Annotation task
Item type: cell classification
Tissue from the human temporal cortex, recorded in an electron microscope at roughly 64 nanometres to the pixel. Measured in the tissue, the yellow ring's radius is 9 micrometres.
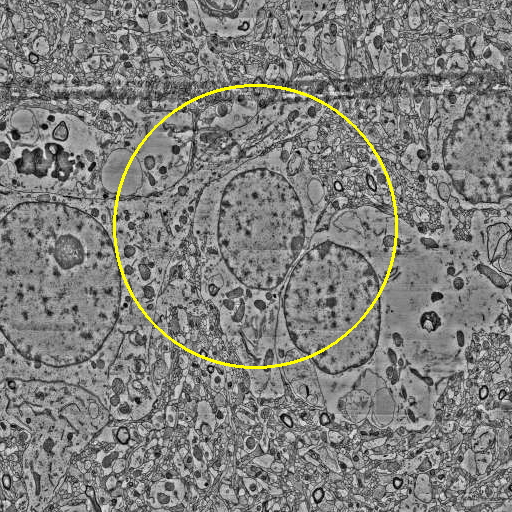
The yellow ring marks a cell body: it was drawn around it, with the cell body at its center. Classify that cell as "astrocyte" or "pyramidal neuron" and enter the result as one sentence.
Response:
The ring's center falls on an astrocyte.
